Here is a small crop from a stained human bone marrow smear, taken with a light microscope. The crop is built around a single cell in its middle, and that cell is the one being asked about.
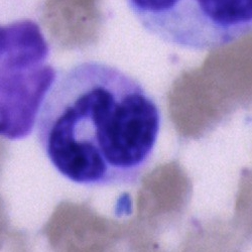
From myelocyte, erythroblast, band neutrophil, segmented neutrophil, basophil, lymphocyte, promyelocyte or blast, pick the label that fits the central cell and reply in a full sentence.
The cell the crop is centered on is a segmented neutrophil.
